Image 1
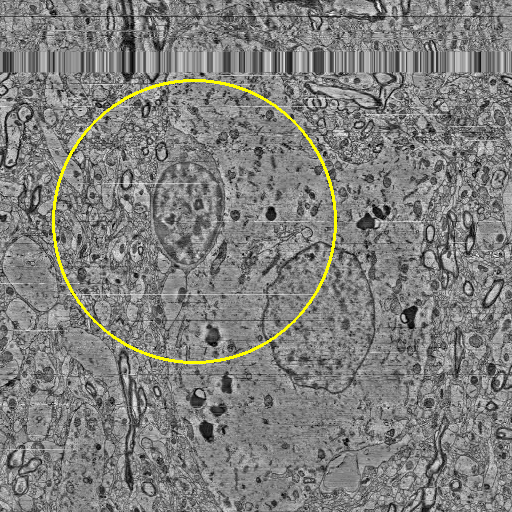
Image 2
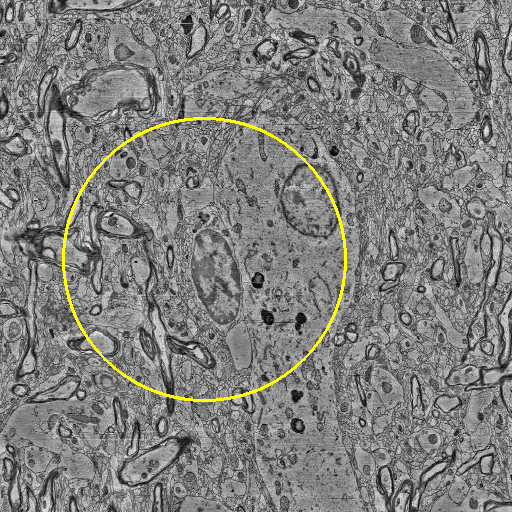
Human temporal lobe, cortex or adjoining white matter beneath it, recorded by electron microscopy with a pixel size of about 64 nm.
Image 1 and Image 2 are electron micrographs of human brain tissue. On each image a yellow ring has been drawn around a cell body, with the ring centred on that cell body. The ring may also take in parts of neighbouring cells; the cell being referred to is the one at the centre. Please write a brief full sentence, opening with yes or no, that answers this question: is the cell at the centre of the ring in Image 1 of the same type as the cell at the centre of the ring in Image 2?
No, the two cells are of two types.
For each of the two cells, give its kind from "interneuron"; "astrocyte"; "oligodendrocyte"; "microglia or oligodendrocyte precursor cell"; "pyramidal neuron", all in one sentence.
The first picture has an oligodendrocyte in its ring, the second has a microglial cell or oligodendrocyte precursor cell.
